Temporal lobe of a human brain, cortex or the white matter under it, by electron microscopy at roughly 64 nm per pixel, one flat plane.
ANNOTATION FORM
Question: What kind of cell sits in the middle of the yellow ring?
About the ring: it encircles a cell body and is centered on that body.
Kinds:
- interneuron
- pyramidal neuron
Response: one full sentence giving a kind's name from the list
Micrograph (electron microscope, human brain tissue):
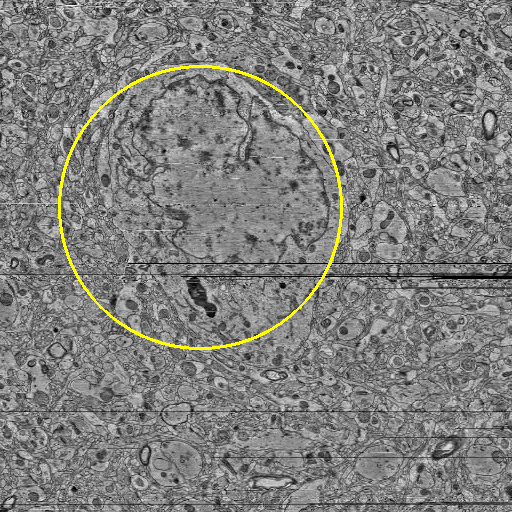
The kind of cell found at the center of the yellow ring in the micrograph is an interneuron.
